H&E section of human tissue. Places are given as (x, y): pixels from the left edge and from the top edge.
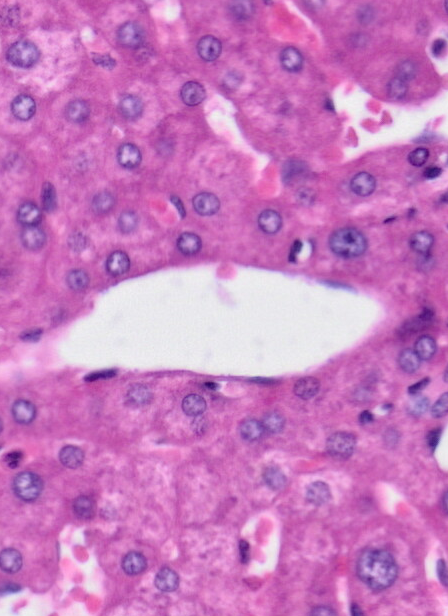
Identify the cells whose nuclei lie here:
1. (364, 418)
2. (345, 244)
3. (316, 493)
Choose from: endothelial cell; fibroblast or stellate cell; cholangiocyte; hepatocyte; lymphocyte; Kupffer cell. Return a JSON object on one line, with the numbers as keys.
{"1": "fibroblast or stellate cell", "2": "hepatocyte", "3": "hepatocyte"}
